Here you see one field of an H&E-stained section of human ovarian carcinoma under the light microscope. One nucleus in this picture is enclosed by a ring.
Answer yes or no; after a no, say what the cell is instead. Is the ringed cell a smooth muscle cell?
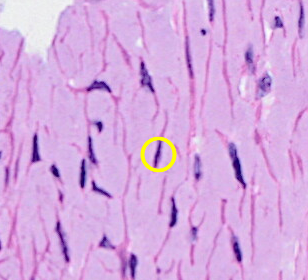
No, it is a fibroblast.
